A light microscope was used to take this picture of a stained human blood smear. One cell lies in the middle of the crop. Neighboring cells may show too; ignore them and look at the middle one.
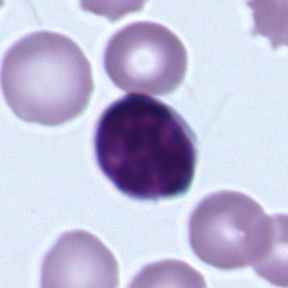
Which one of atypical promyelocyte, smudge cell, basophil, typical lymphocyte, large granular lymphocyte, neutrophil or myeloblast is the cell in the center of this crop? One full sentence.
By type, the central cell of the crop is a typical lymphocyte.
